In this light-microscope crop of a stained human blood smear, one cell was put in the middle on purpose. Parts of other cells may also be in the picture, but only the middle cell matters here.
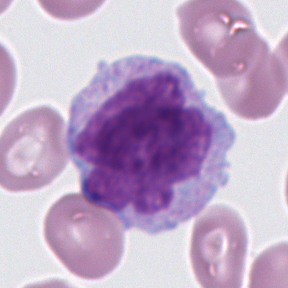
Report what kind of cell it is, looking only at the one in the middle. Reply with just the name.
atypical promyelocyte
